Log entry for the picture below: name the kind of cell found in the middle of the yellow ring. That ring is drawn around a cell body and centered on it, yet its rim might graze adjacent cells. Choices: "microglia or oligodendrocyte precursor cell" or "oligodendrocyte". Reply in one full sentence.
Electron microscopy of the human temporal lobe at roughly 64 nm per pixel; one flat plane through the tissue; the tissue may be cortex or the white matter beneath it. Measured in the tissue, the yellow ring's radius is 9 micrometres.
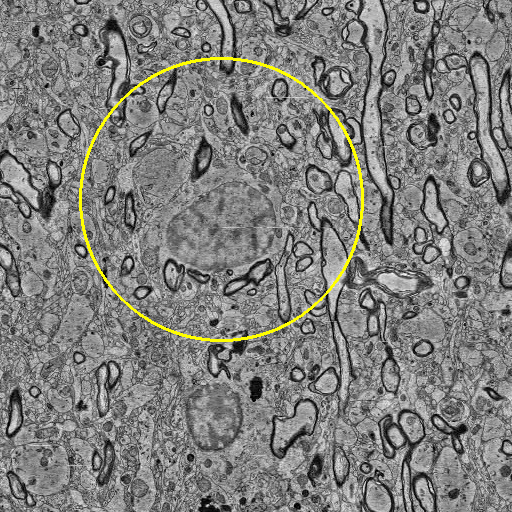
The cell in the middle of the yellow ring in this picture is an oligodendrocyte.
